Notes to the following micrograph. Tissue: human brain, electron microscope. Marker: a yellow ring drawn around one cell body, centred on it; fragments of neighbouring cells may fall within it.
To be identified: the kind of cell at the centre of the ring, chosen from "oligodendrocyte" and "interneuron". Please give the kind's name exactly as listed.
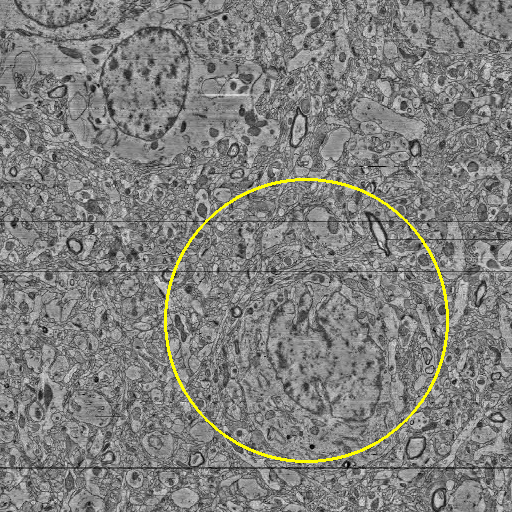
interneuron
